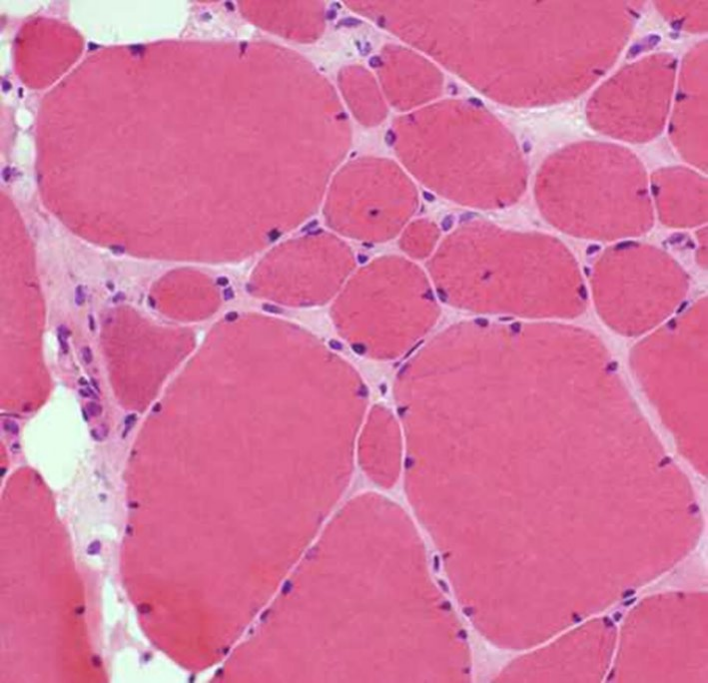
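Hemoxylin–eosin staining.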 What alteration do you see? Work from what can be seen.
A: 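Very large pink fibres lie beside much smaller rounded fibres. Small rounded fibres cluster in the middle of the field among large polygonal ones. Fibre cross-sections differ several-fold in diameter.
Hence: variability in muscle fibres size.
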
